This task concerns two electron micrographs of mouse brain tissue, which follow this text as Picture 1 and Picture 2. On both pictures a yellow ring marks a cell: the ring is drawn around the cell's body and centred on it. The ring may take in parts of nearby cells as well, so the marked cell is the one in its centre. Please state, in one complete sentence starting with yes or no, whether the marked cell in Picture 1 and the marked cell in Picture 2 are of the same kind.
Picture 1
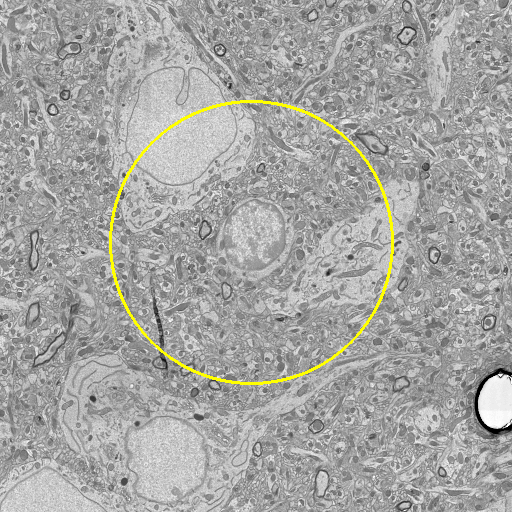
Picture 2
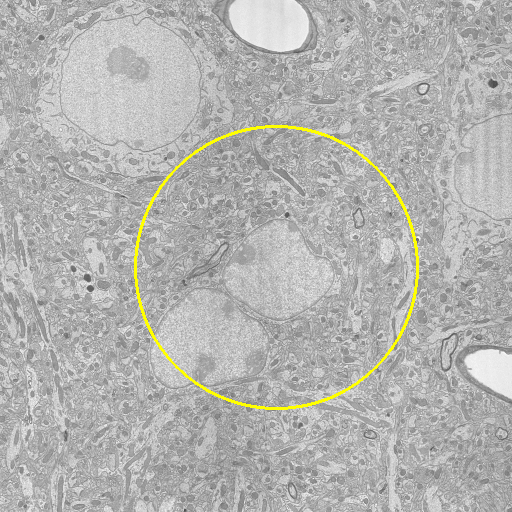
No, the marked cells in the two pictures are of two kinds.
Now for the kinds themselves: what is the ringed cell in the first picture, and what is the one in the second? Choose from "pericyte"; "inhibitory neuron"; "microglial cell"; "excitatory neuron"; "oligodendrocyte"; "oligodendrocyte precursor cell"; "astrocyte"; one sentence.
Here the first cell is an oligodendrocyte and the second cell is an astrocyte.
